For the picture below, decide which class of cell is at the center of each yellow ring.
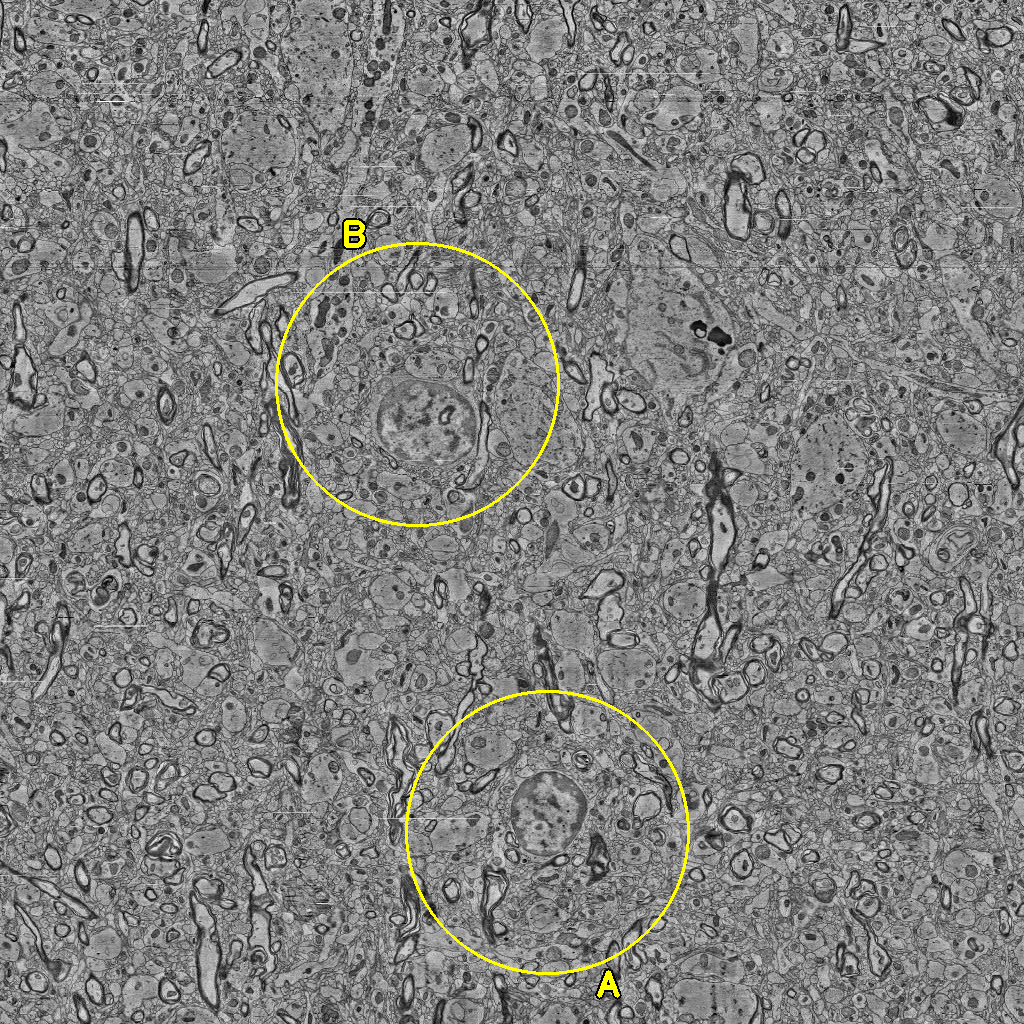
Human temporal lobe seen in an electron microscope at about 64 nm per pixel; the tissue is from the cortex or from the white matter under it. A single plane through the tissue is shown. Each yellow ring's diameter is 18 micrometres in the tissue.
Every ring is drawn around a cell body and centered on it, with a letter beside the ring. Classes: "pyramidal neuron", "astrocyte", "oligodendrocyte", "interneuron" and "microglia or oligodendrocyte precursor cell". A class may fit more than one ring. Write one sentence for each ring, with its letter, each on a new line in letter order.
Centered in ring A is a microglial cell or oligodendrocyte precursor cell.
Centered in ring B is an oligodendrocyte.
